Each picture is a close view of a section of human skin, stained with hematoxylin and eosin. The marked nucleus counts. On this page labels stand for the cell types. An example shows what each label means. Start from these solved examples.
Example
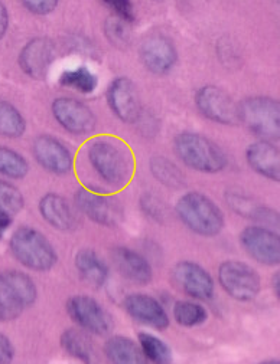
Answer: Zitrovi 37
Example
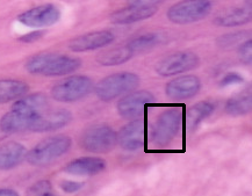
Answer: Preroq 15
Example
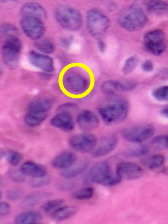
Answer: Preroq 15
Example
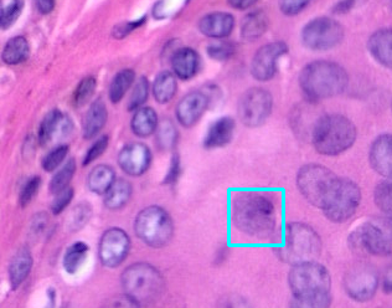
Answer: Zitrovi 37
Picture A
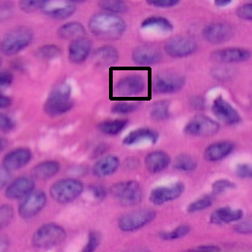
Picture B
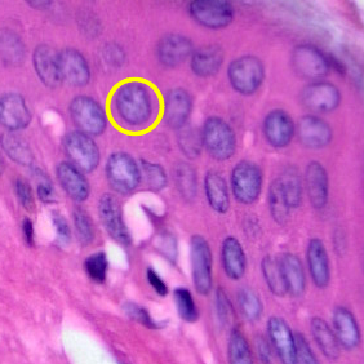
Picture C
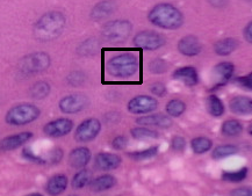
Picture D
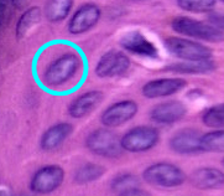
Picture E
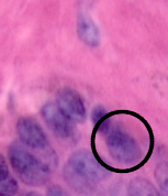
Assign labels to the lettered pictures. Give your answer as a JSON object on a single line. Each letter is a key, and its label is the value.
{"A": "Preroq 15", "B": "Zitrovi 37", "C": "Zitrovi 37", "D": "Zitrovi 37", "E": "Preroq 15"}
